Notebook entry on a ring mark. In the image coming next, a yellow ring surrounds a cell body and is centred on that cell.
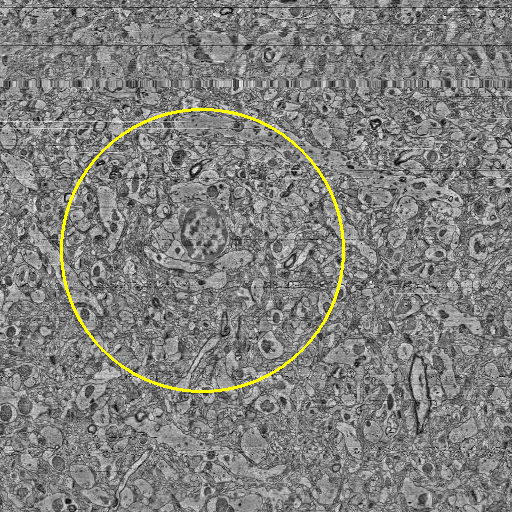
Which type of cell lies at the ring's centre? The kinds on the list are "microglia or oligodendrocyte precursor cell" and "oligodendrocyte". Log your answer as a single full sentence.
Centred in the yellow ring is a microglial cell or oligodendrocyte precursor cell, the cell recorded for this image.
